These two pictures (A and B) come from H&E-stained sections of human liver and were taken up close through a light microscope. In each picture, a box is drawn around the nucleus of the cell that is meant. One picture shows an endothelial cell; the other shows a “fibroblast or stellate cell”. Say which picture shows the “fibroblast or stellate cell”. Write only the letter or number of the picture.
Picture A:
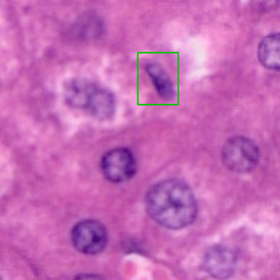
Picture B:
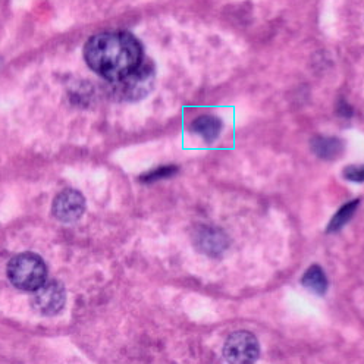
A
